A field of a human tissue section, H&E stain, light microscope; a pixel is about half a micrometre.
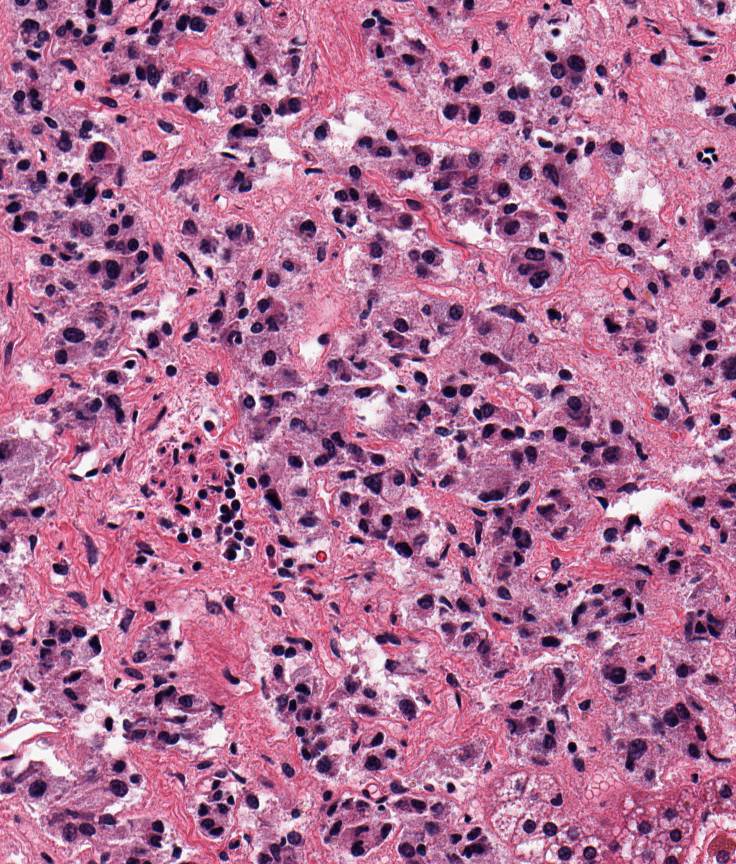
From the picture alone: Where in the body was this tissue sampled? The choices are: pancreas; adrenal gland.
adrenal gland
